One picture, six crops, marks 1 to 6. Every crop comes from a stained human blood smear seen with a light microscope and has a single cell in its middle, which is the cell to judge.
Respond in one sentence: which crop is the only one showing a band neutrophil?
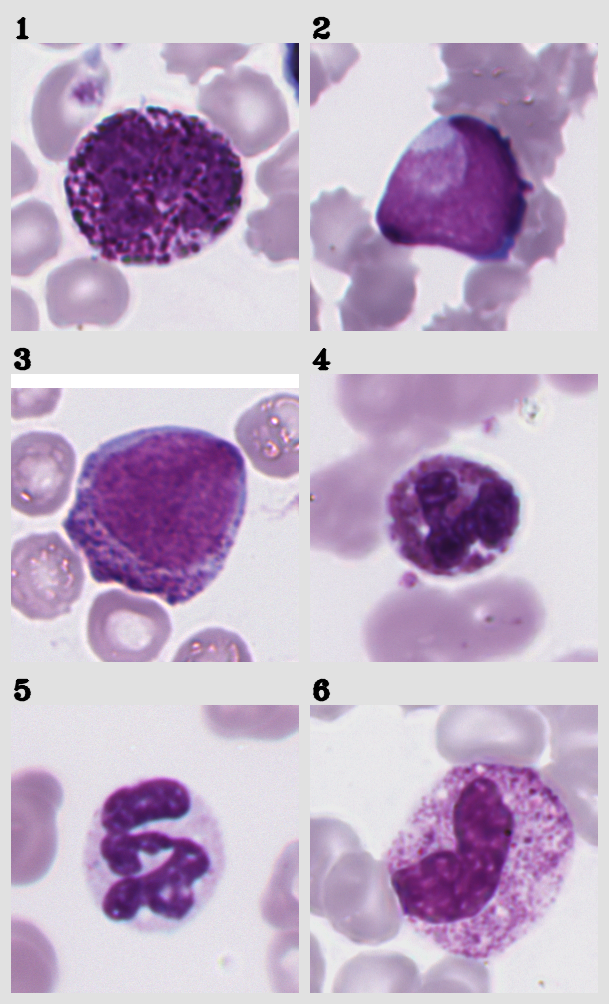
Crop 6 is the one in the set with a band neutrophil at the center.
